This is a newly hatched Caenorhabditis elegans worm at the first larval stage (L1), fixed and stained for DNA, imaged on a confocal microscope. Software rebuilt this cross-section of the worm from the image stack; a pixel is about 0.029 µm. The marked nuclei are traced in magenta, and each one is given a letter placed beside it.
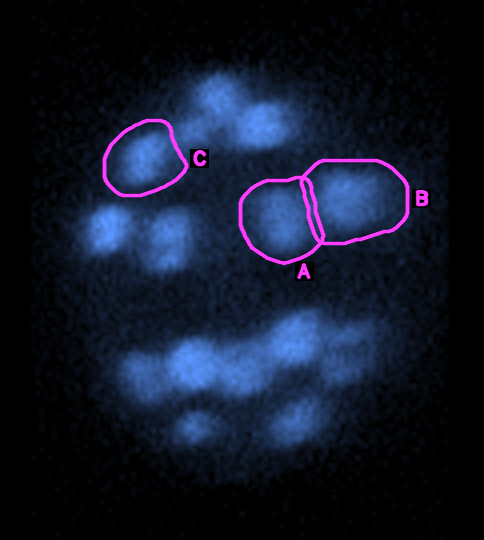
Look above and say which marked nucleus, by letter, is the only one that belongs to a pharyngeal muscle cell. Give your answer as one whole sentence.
The one from a pharyngeal muscle cell is A.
